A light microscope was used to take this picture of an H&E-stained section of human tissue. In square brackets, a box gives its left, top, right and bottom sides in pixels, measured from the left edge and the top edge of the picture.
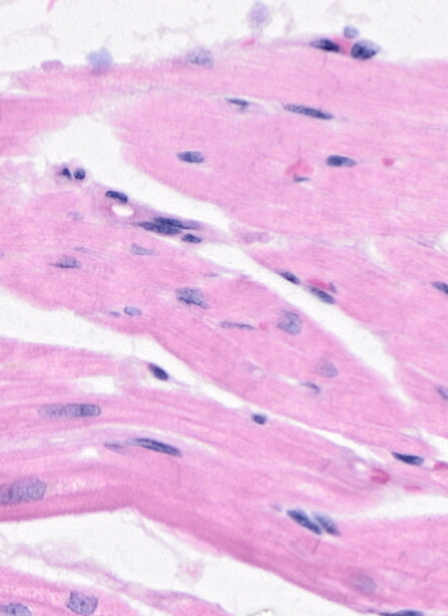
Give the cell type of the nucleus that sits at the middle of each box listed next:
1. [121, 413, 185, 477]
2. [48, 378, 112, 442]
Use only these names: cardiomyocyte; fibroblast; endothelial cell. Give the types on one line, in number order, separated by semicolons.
endothelial cell; cardiomyocyte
